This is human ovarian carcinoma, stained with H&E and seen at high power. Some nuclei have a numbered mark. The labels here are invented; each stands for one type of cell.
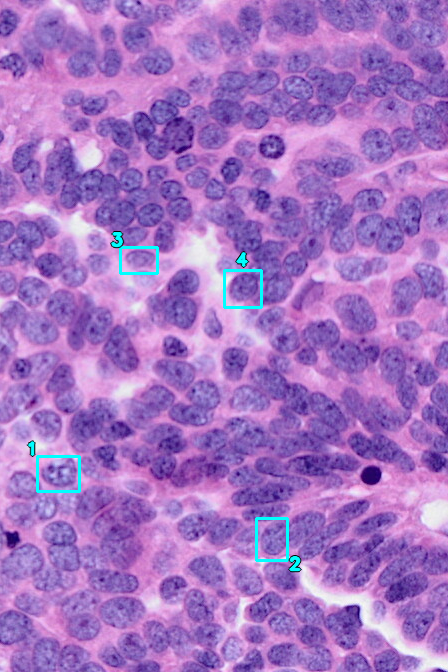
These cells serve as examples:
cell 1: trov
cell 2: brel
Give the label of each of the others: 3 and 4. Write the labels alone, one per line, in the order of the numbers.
brel
brel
